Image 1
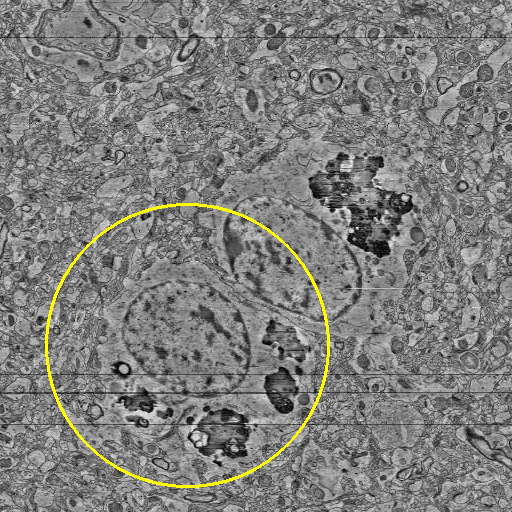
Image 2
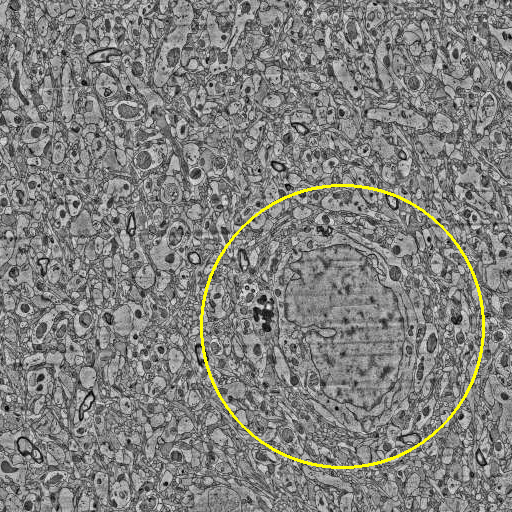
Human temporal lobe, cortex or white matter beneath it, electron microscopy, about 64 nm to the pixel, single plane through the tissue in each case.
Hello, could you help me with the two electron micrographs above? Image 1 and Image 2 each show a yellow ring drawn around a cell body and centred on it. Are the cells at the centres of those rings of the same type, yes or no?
no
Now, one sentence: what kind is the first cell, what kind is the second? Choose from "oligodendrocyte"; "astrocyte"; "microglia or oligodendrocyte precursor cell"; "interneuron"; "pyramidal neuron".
The first picture has an astrocyte at its ring centre, and the second has an interneuron.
